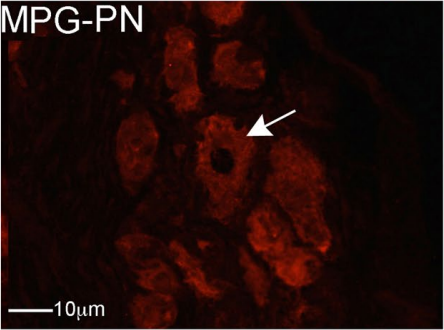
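At higher magnification this field shows several large ganglion neurons with moderately red cytoplasm on a dark background. The cell bodies are large and rounded to irregular in outline, lying close to one another. The neuron in the centre shows a clear, dark, round nucleus set in the middle of a granular red cytoplasm. The surrounding tissue between the cell bodies is only faintly labelled.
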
